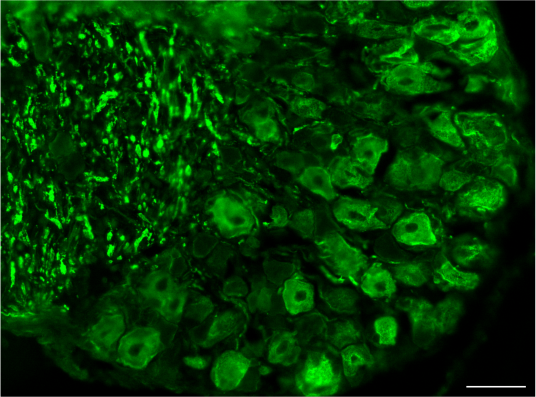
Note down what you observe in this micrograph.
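Sensory neuron cell bodies of varying size appear green, many with a darker unstained nucleus at their centre. On the left, a dense field of green fibre profiles lies beside the clustered cell bodies.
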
